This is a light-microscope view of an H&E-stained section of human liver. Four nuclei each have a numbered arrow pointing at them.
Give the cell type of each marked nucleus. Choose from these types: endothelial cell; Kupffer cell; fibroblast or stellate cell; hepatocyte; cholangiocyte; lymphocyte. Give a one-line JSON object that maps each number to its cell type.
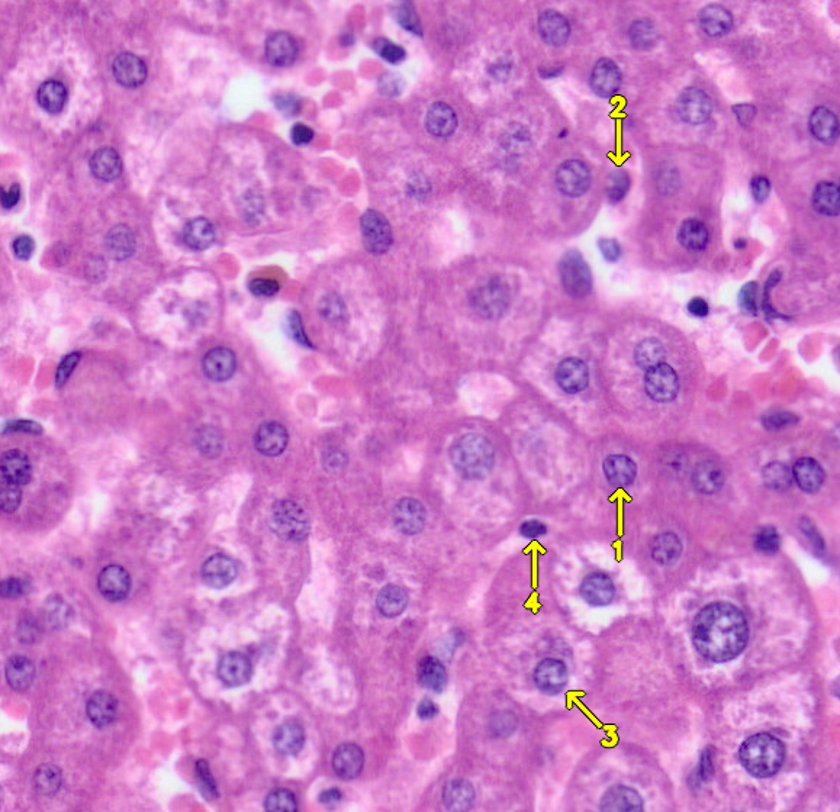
{"1": "hepatocyte", "2": "Kupffer cell", "3": "hepatocyte", "4": "lymphocyte"}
